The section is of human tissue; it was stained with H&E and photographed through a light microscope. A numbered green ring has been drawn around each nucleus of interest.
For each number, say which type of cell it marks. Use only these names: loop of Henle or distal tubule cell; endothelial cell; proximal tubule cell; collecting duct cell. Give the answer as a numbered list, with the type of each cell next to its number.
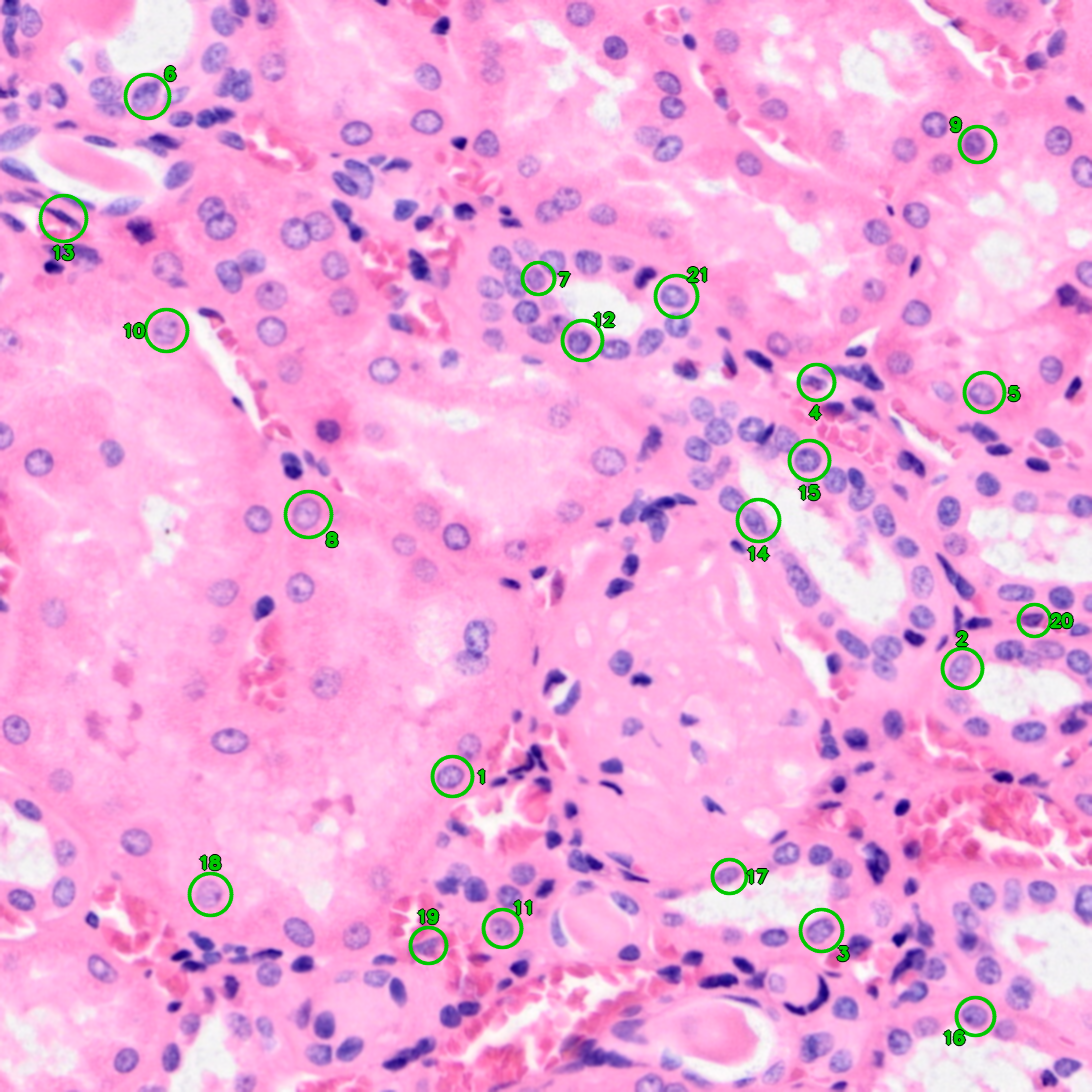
1. proximal tubule cell
2. collecting duct cell
3. loop of Henle or distal tubule cell
4. endothelial cell
5. proximal tubule cell
6. collecting duct cell
7. collecting duct cell
8. proximal tubule cell
9. proximal tubule cell
10. proximal tubule cell
11. loop of Henle or distal tubule cell
12. collecting duct cell
13. endothelial cell
14. collecting duct cell
15. collecting duct cell
16. loop of Henle or distal tubule cell
17. loop of Henle or distal tubule cell
18. proximal tubule cell
19. endothelial cell
20. endothelial cell
21. collecting duct cell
